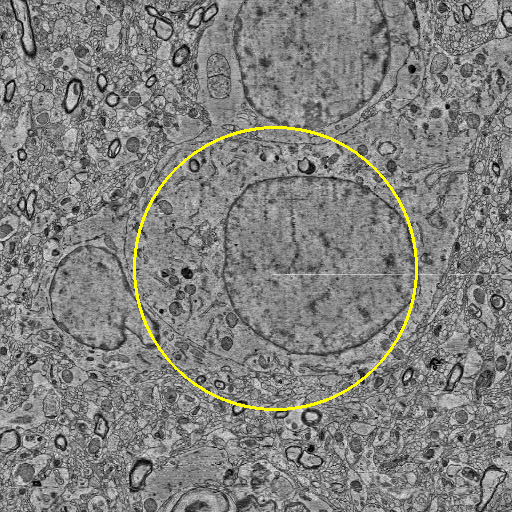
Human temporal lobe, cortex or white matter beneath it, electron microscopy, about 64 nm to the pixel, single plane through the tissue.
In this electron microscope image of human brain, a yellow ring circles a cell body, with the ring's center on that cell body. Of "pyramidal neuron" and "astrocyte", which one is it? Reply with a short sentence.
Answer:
It is a pyramidal neuron at the center of the ring.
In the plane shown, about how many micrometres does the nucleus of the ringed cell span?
In this plane the nucleus is about 13 micrometres across.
